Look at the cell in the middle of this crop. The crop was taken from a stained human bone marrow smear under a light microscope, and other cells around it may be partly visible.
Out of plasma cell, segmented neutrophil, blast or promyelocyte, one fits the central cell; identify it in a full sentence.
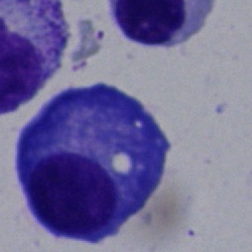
Seen at the centre of the crop is a plasma cell.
